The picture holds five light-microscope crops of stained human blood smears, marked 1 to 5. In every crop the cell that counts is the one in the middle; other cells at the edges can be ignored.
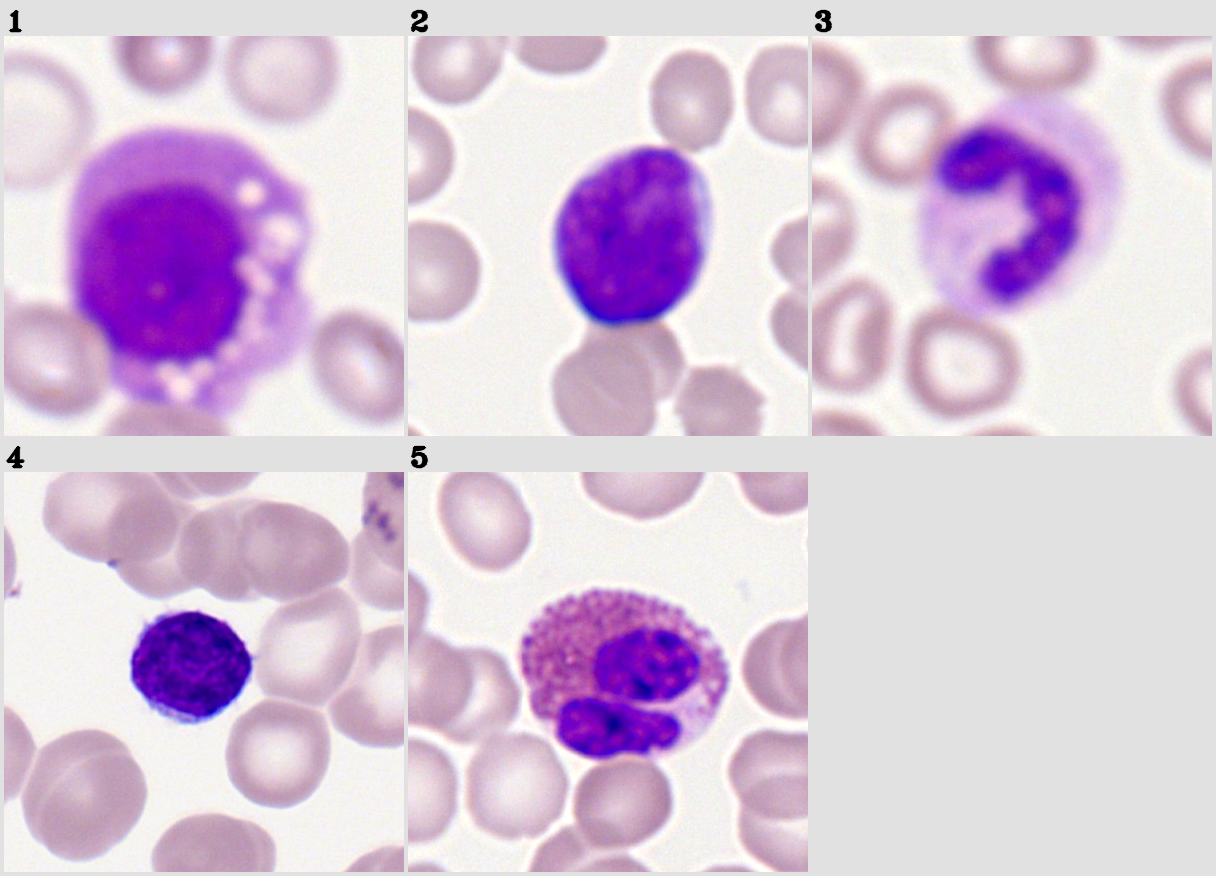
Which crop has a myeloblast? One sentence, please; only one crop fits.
Crop 2 is the one in this set that shows a myeloblast.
